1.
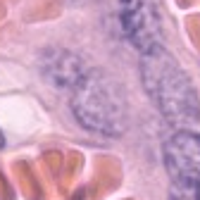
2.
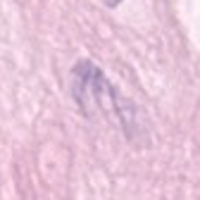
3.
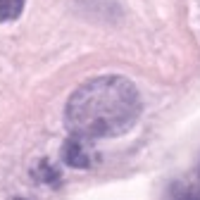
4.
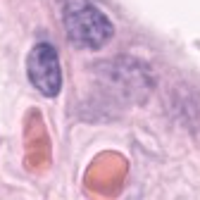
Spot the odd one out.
Picture 2 (a vascular myocyte among cytotrophoblasts).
